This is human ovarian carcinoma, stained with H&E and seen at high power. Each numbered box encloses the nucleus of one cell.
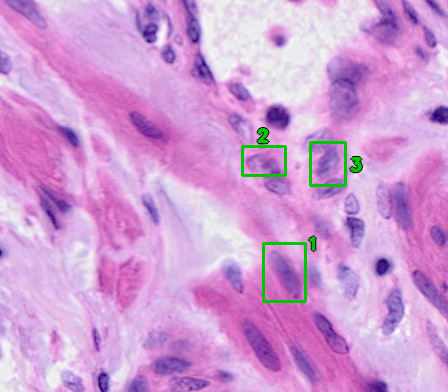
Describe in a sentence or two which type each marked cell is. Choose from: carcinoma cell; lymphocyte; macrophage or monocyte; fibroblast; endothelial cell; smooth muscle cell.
Cell 1 is a smooth muscle cell. Cells 2 and 3 are endothelial cells.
